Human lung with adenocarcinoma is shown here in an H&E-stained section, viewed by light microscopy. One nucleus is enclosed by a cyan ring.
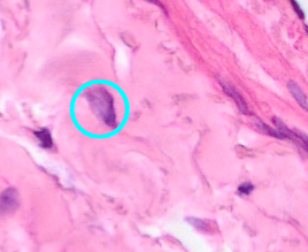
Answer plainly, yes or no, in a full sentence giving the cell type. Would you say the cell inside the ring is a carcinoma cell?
No, scored properly, the cell inside the ring is a fibroblast rather than a carcinoma cell.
